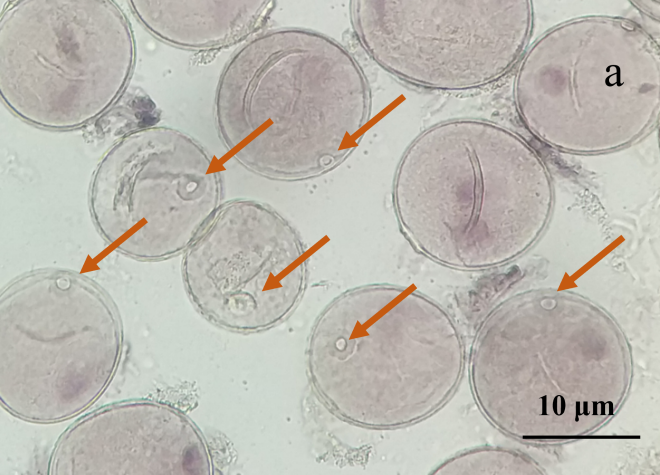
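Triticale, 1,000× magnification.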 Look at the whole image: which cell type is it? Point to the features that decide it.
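Many separate round cells of similar size lie scattered, not joined in a tissue. Each cell has a thick, smooth, double-lined wall. The contents are pale purple and finely granular. The answer: microspores.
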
